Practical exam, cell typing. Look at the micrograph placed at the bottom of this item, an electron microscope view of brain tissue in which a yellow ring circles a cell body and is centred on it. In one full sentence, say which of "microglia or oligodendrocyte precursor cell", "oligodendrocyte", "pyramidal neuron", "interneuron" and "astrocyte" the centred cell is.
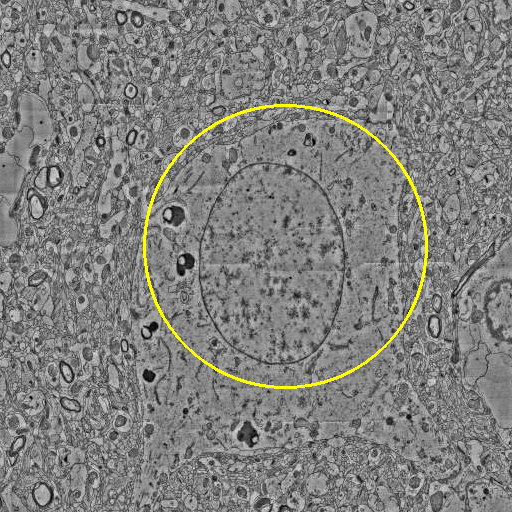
Given the options, a pyramidal neuron fits the cell whose body the yellow ring is centred on.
